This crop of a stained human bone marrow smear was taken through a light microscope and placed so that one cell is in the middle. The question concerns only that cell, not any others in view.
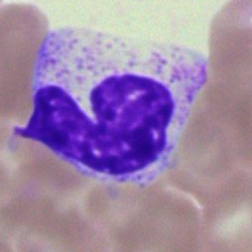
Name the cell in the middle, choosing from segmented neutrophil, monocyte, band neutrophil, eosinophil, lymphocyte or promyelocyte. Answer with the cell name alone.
band neutrophil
